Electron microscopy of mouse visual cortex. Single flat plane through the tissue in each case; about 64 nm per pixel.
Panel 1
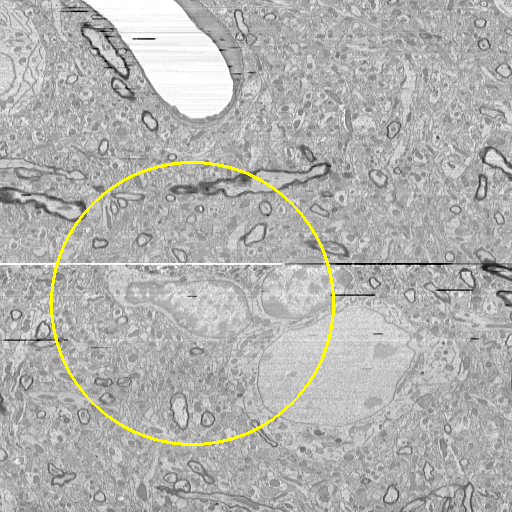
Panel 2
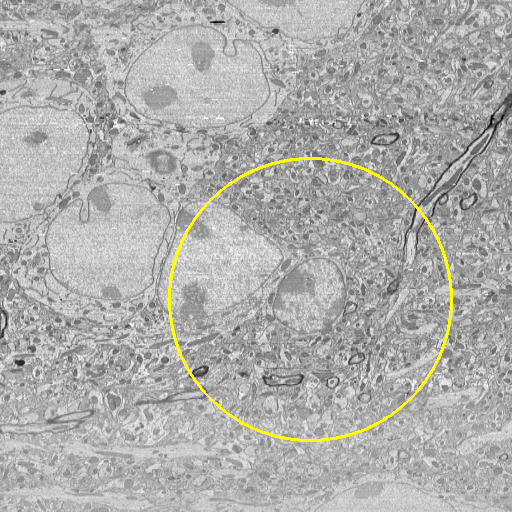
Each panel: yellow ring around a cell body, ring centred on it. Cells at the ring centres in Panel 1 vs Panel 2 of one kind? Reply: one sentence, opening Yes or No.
Yes, Panel 1 and Panel 2 have cells of one kind at the ring centres.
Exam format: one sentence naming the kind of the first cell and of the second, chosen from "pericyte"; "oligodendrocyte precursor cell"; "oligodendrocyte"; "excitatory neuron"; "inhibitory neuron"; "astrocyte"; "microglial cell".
Each cell, in the first picture and the second, is an oligodendrocyte.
